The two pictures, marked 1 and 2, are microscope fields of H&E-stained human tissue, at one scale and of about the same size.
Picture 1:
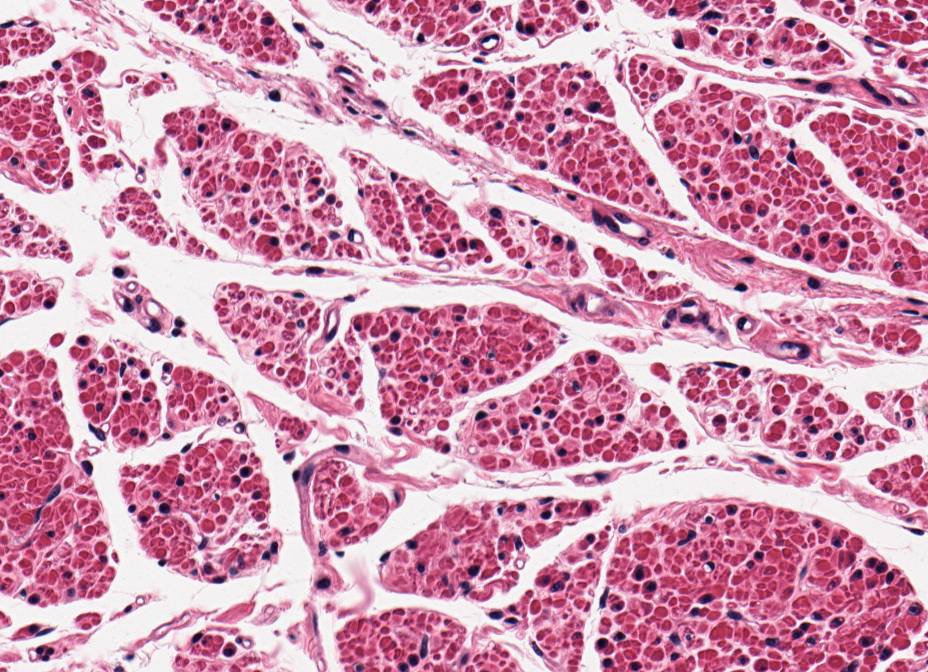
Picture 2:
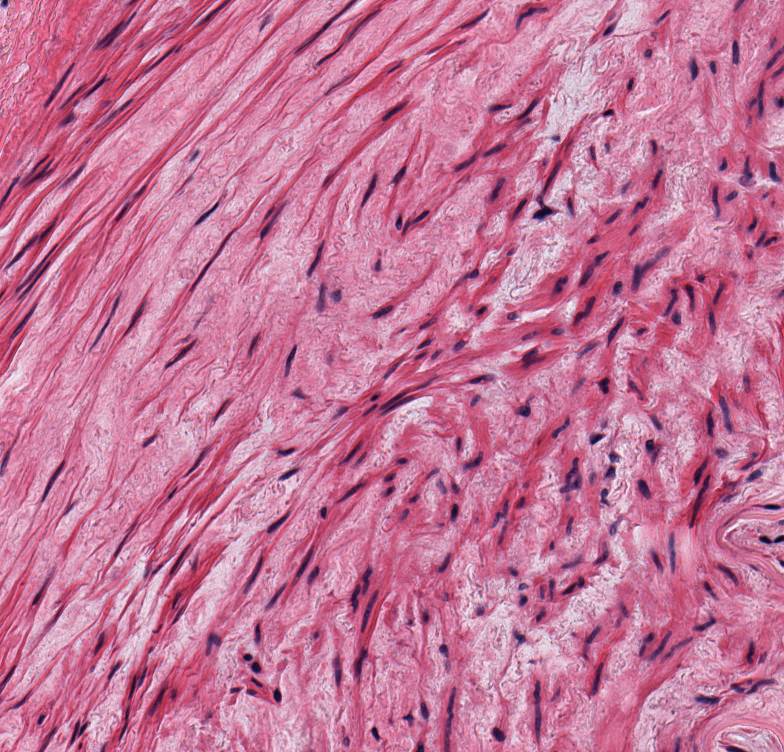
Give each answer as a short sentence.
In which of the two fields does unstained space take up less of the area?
Unstained space takes up less of picture 2 than of picture 1.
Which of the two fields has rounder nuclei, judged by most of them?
The nuclei are rounder in picture 1.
